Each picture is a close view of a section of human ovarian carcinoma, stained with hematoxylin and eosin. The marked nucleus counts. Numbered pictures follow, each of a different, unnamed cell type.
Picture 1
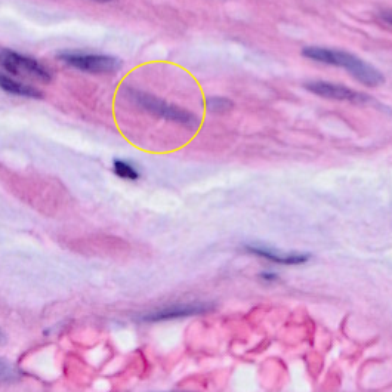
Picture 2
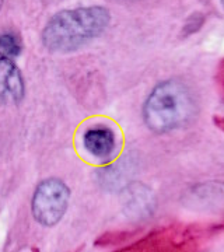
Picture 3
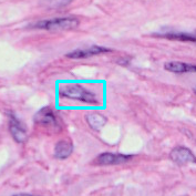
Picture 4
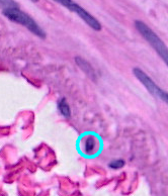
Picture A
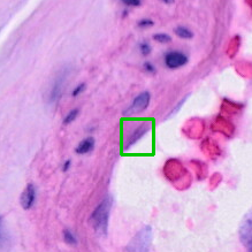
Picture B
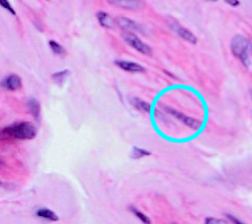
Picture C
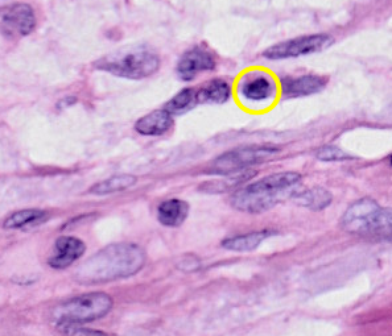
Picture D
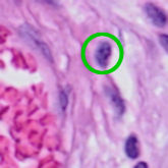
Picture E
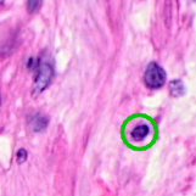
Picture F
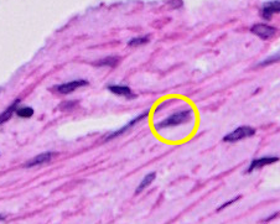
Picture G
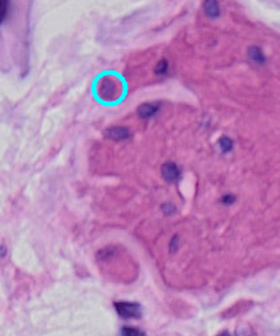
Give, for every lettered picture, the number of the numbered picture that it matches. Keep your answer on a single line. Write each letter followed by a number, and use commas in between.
A 4, B 1, C 2, D 2, E 2, F 3, G 1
